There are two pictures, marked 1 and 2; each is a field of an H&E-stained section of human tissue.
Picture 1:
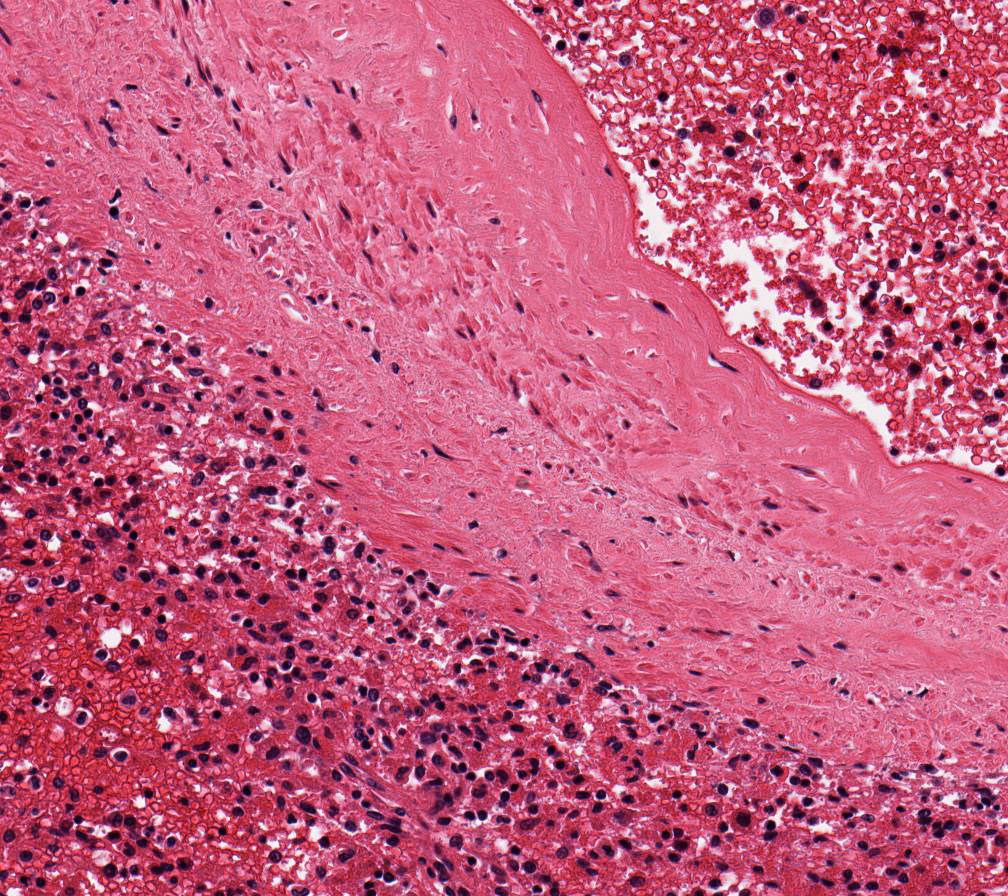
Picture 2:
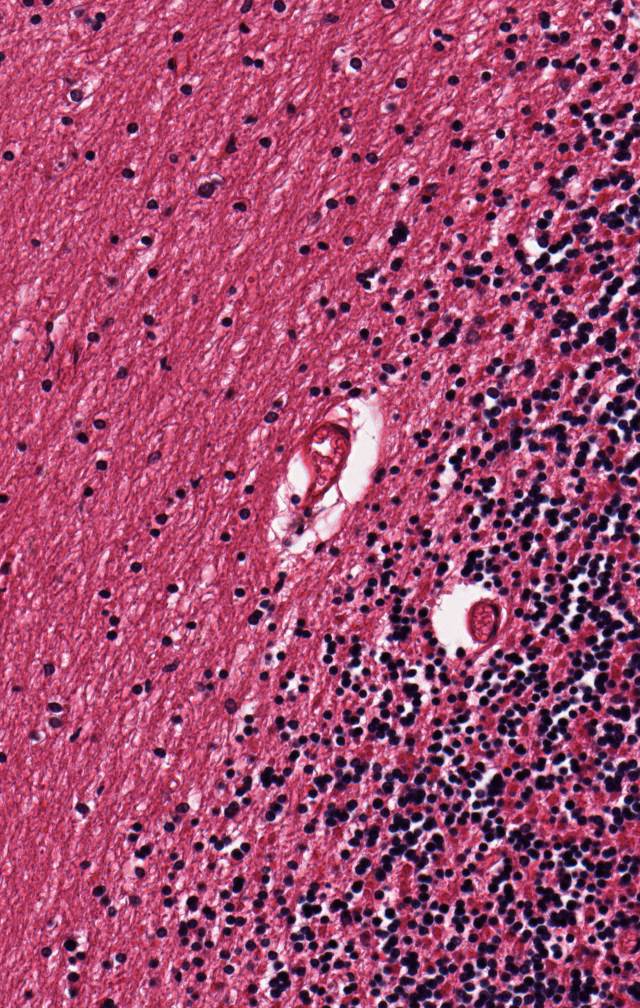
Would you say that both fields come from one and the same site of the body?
no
